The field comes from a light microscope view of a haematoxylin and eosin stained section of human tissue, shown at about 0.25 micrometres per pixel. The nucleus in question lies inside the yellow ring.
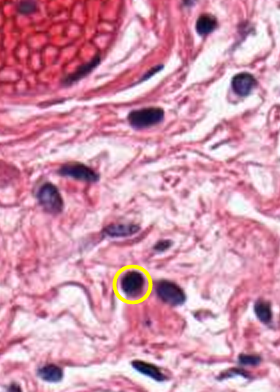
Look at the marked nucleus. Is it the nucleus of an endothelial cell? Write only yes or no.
no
